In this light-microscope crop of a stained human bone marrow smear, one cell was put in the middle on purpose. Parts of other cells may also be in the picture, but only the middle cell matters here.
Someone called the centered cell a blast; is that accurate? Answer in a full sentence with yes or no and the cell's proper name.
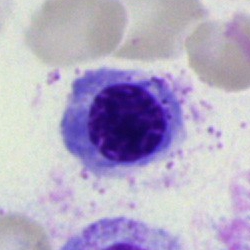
No, the central cell should be identified as an erythroblast, not as a blast.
